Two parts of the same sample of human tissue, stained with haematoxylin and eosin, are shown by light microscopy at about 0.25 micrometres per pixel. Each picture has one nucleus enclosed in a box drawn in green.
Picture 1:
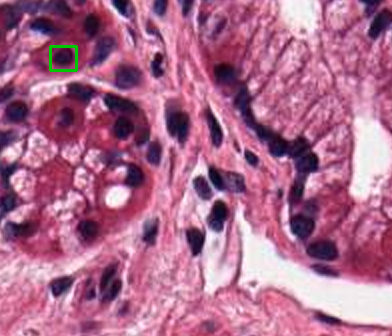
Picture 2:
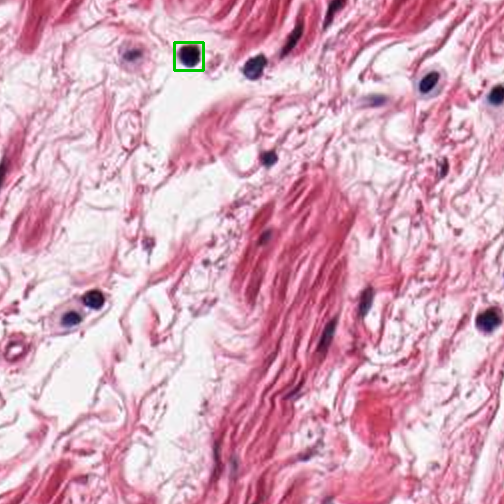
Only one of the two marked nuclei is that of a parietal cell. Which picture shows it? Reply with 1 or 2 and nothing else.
1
